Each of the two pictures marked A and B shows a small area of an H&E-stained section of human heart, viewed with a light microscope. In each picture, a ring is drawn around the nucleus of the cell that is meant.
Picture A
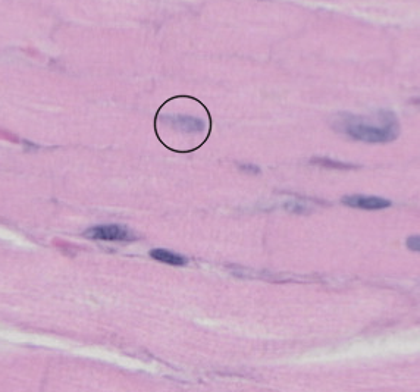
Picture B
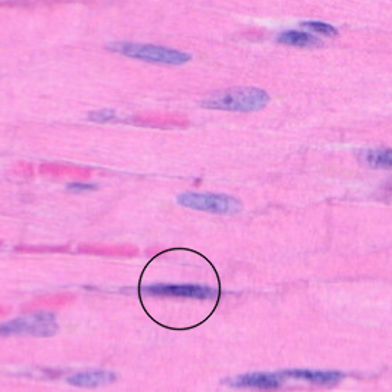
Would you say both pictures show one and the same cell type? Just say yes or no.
no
